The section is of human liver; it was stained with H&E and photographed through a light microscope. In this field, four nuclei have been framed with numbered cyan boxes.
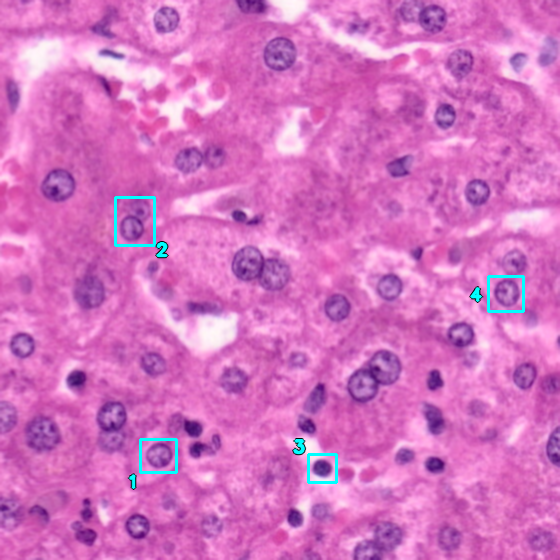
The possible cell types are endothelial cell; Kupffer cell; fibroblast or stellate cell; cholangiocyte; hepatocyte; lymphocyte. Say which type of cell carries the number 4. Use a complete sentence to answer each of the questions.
The cell bearing label 4 corresponds to a hepatocyte.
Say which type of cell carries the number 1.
At number 1, the marked cell is a hepatocyte.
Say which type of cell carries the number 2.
Identified by the number 2, the cell is a hepatocyte.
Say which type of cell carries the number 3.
The marked cell with the number 3 is recognised as a lymphocyte.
